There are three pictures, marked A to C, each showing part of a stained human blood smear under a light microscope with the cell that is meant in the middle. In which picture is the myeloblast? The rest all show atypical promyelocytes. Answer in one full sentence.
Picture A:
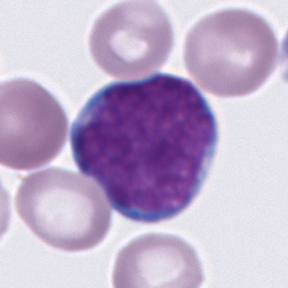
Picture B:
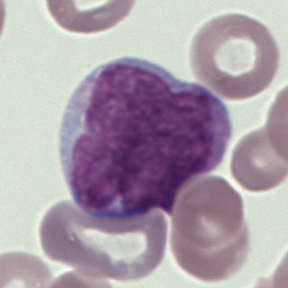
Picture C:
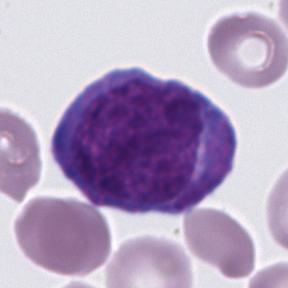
Picture A is the one that shows the myeloblast.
